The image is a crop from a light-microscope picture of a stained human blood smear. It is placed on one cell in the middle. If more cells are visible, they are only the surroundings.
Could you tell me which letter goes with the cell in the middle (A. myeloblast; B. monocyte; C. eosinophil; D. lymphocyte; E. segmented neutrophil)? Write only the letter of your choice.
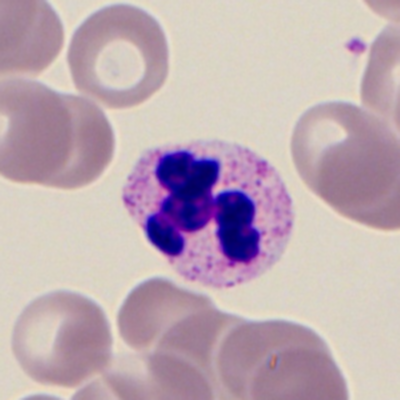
E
